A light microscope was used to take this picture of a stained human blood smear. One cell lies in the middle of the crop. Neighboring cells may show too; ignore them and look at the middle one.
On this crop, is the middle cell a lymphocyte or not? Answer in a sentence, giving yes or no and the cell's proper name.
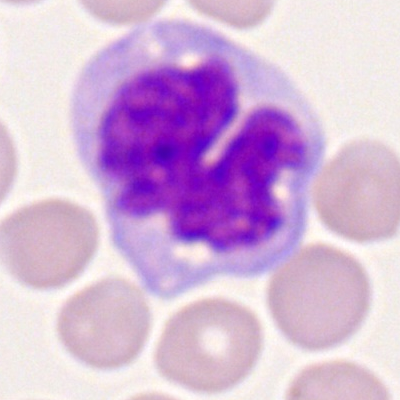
No, the cell located centrally is a monocyte rather than a lymphocyte.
